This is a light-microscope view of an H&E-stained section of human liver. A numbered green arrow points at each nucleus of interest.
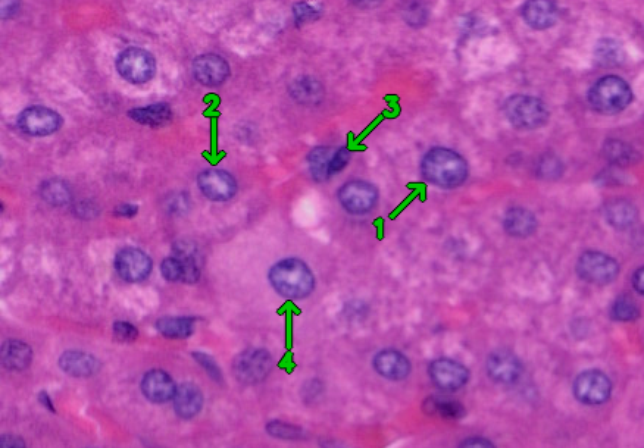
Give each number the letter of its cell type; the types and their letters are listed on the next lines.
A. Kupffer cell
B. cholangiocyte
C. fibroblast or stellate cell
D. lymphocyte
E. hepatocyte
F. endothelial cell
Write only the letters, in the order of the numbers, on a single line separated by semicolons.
E; E; C; E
